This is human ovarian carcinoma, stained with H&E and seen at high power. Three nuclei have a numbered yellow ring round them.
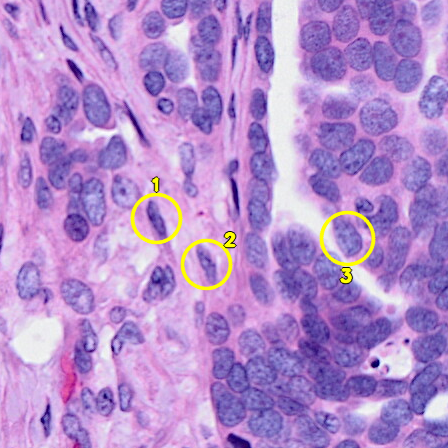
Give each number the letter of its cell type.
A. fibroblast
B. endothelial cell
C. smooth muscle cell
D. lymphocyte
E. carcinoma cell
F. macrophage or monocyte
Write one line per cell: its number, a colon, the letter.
1: A
2: A
3: E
